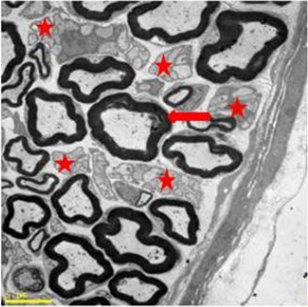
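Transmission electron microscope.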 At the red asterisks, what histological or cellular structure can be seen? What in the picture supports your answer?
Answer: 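The asterisks sit on clusters of small pale axon profiles. These small profiles lack the thick dark ring surrounding the large axons. They lie grouped together between the large dark-ringed fibres. The answer: Unmyelinated nerves.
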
